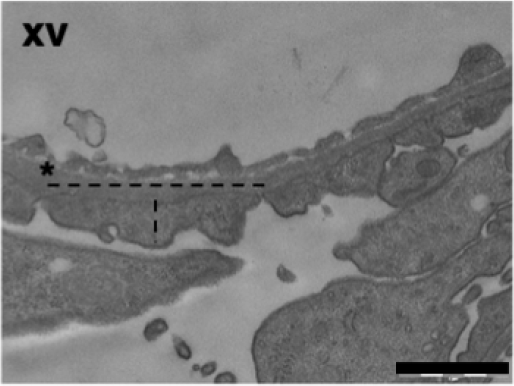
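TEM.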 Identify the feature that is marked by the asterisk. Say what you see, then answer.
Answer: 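Glomerular basement membrane. The asterisk sits at a thin, continuous dark band running along the capillary wall.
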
